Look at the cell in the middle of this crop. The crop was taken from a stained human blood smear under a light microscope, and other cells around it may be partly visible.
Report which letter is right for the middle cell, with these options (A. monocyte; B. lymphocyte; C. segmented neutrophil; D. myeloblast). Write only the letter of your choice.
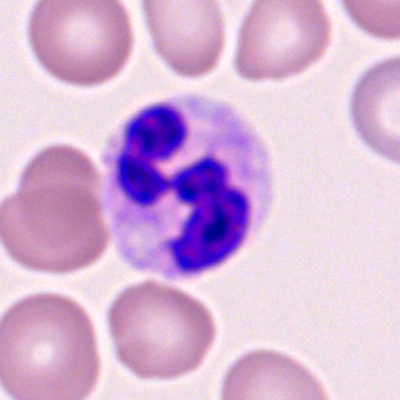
C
